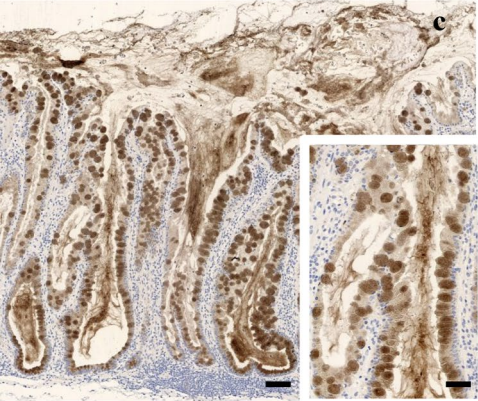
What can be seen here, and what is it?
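Elongated, partly dilated crypts are lined by columnar epithelium crowded with goblet cells whose rounded mucin droplets are stained brown. The goblet cells lie densely along the crypt walls, and some crypt bases are widened with brown-stained mucin filling their lumina. Above the crypts, an amorphous brown mucous layer covers the luminal surface. Between the crypts the lamina propria holds many cells with small blue nuclei, and a dense lymphoid aggregate lies at the base. The higher-power view shows the brown droplets filling the cytoplasm of the goblet cells, with brown strands of mucin in the lumen.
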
